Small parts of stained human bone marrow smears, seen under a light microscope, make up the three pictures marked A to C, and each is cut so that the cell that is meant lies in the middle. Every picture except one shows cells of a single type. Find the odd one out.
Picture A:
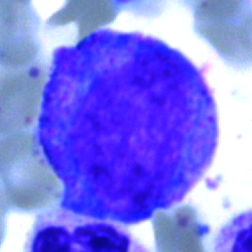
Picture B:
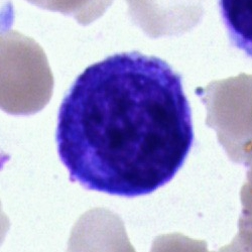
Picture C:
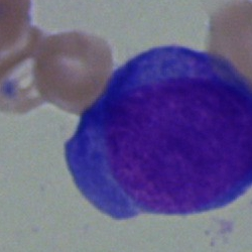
C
